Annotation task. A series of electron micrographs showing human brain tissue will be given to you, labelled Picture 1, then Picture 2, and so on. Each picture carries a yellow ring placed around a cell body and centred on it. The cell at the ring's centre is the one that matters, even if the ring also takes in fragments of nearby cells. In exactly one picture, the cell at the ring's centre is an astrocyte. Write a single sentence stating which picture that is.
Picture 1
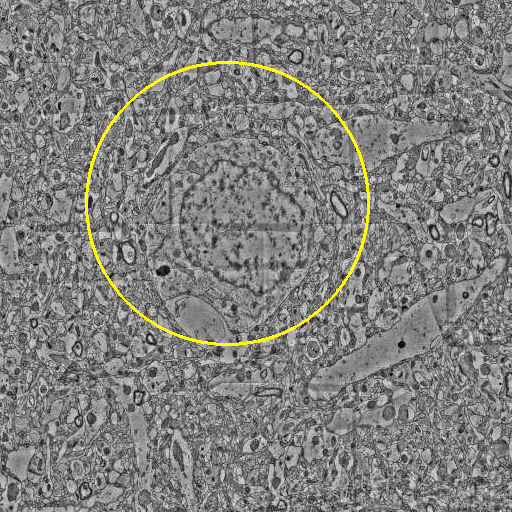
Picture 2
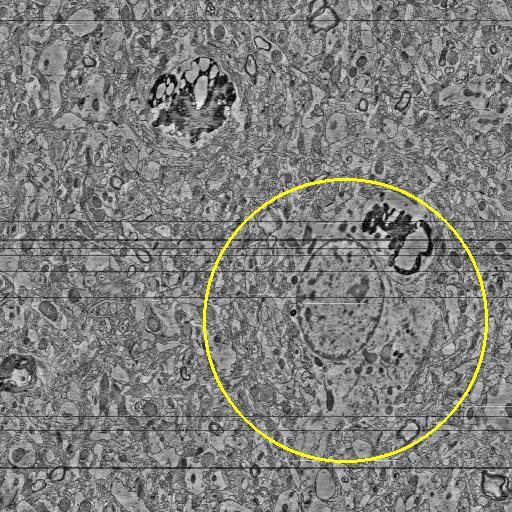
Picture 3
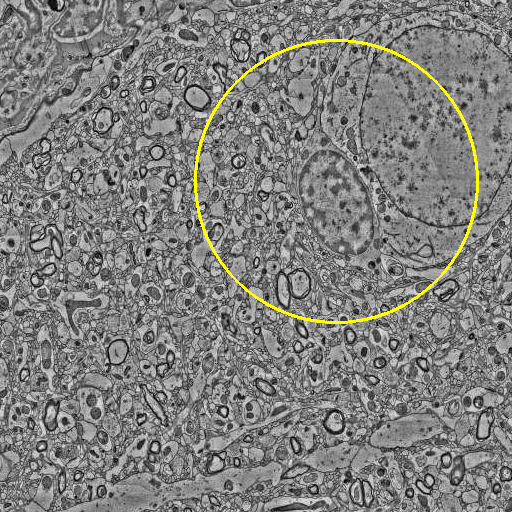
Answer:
Picture 2 holds the requested cell at the very centre of its ring.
